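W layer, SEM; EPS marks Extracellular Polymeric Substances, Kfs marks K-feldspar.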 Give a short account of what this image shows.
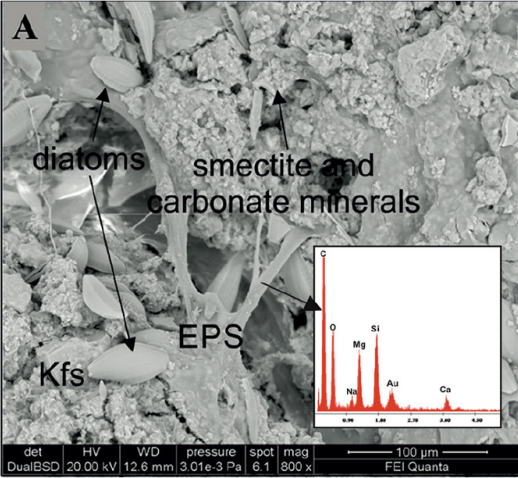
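The frustules are elongate, boat-shaped to oval, with smooth, bright surfaces, and lie scattered at different angles across the left and middle of the field, some partly buried. Between them, the matrix forms smooth sheets and stretched strands that span gaps and drape over particles. To the right and below, the frustules give way to rough, granular clumps of fine mineral grains.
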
